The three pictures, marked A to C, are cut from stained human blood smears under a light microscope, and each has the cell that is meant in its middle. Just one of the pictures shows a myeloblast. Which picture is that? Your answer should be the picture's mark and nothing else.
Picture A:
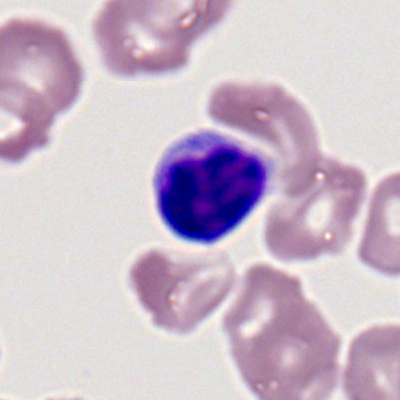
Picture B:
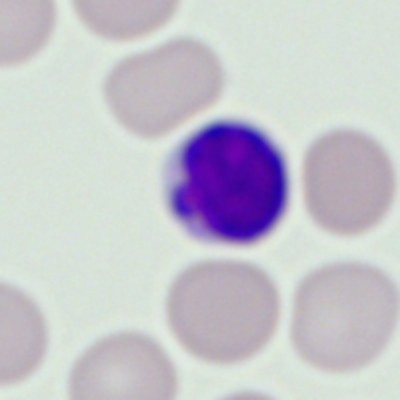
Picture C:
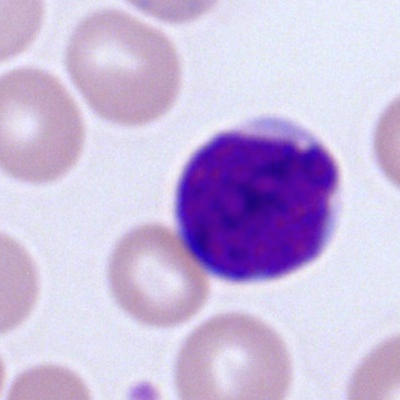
C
